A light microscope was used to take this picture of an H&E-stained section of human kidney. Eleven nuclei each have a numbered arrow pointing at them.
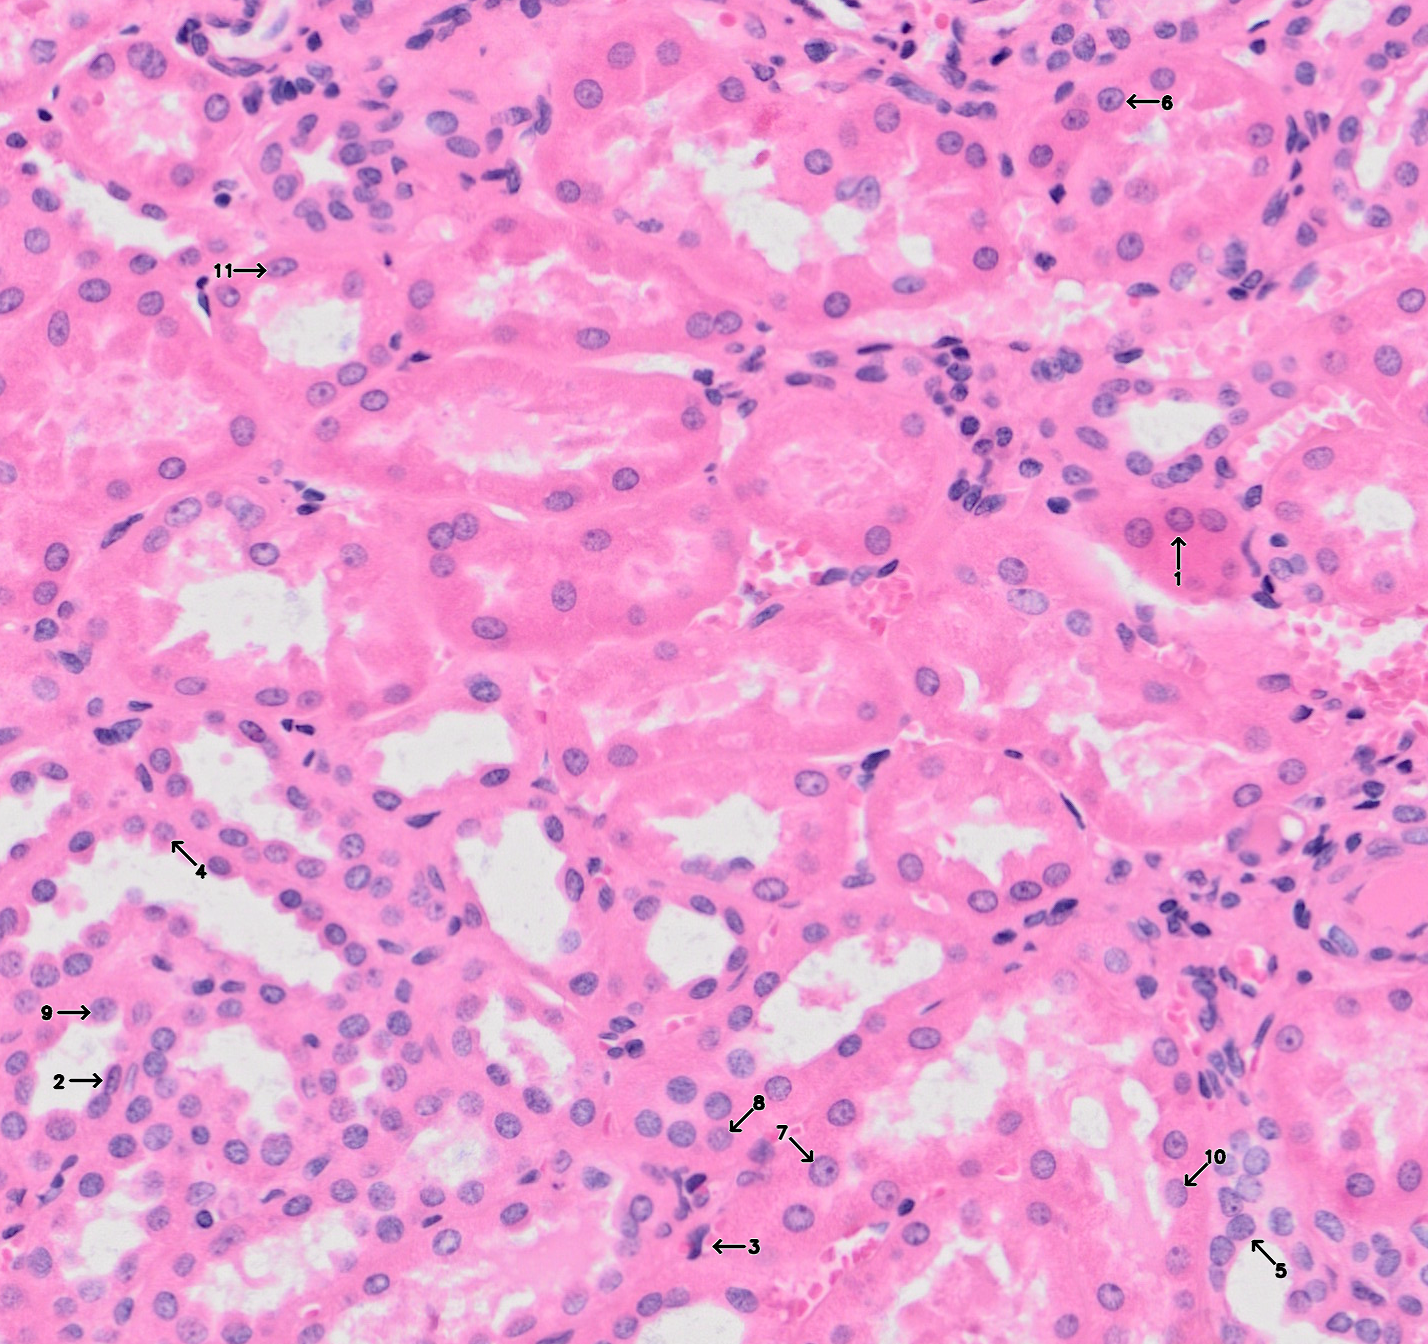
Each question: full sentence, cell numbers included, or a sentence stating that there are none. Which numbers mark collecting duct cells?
Only at number 5 is there a collecting duct cell.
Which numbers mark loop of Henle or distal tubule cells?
The cells marked by the numbers 2, 4, 8 and 9 are loop of Henle or distal tubule cells.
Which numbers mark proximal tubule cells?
The cells marked by the numbers 1, 6, 7, 10 and 11 are proximal tubule cells.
